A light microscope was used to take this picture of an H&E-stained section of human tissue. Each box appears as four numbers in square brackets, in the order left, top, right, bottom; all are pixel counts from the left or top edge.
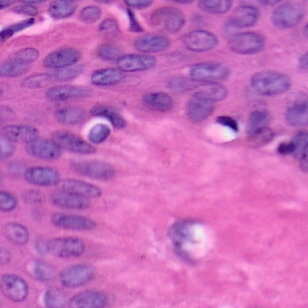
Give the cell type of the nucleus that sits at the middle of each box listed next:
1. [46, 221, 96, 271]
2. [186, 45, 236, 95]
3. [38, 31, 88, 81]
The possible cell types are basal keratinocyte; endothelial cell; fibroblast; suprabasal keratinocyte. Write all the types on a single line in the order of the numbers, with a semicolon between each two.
basal keratinocyte; suprabasal keratinocyte; basal keratinocyte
